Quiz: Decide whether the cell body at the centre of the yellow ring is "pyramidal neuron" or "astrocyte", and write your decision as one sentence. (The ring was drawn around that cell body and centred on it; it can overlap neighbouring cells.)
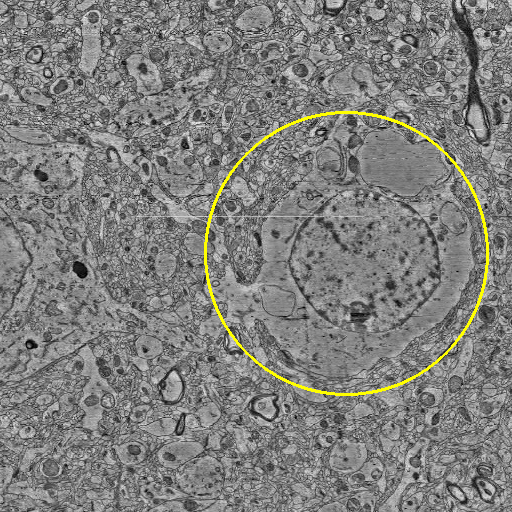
The cell the ring is centred on is an astrocyte.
